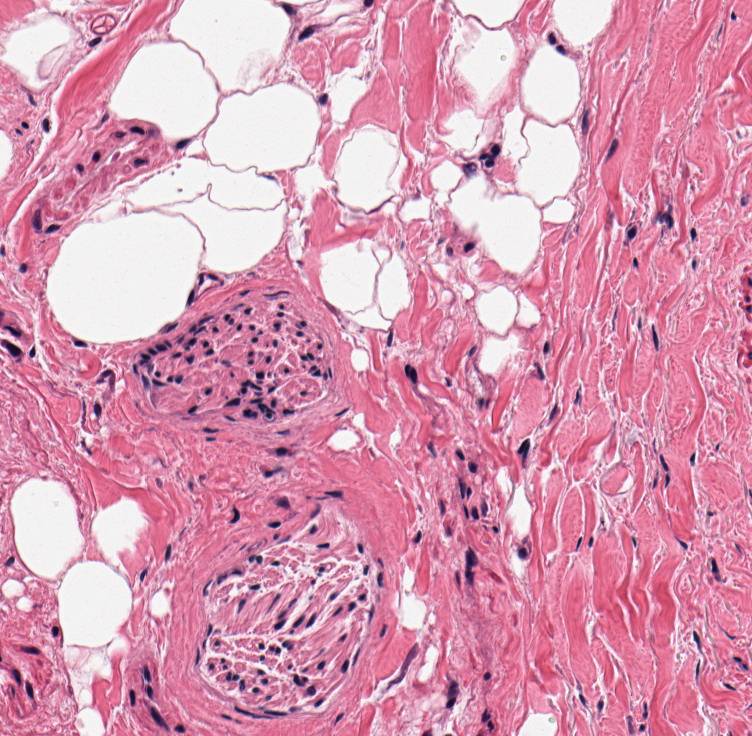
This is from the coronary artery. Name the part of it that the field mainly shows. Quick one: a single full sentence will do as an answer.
The part of the tissue seen in this section is tunica adventitia.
